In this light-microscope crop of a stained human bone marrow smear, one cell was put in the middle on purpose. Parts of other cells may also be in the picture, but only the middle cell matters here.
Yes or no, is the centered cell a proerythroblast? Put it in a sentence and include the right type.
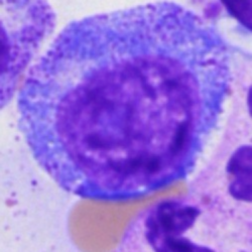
No, looking at the central cell, it is a promyelocyte rather than a proerythroblast.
